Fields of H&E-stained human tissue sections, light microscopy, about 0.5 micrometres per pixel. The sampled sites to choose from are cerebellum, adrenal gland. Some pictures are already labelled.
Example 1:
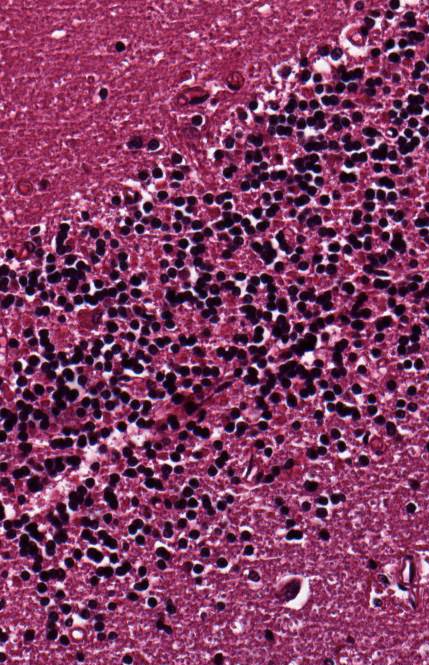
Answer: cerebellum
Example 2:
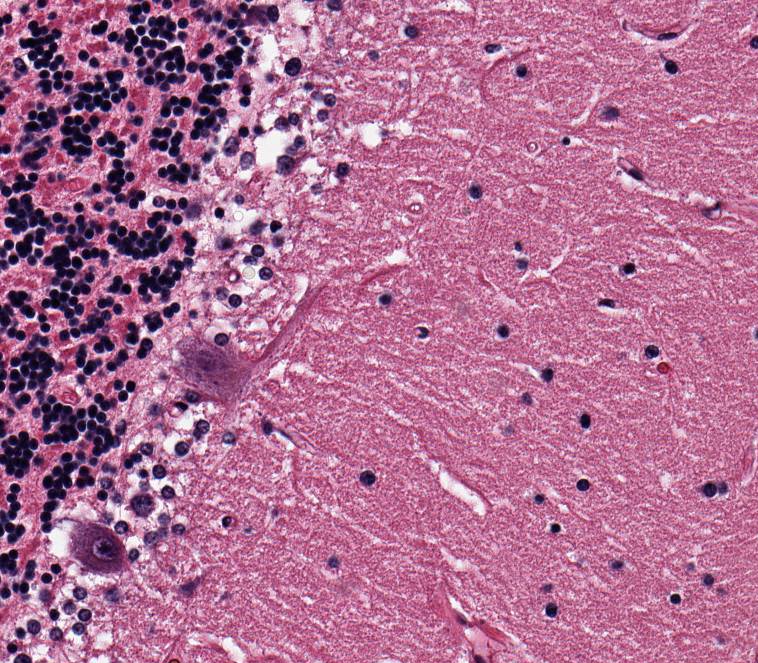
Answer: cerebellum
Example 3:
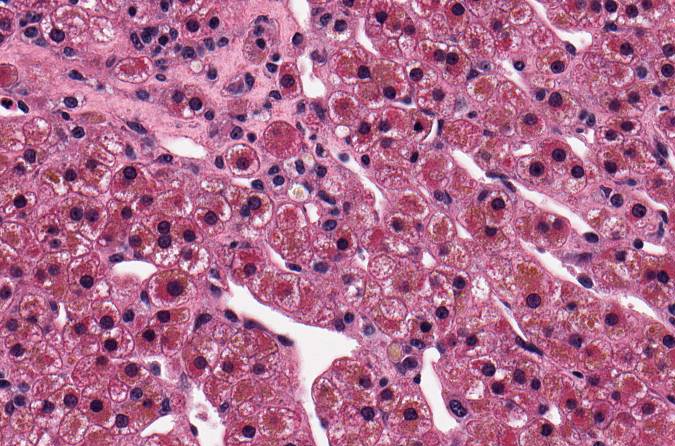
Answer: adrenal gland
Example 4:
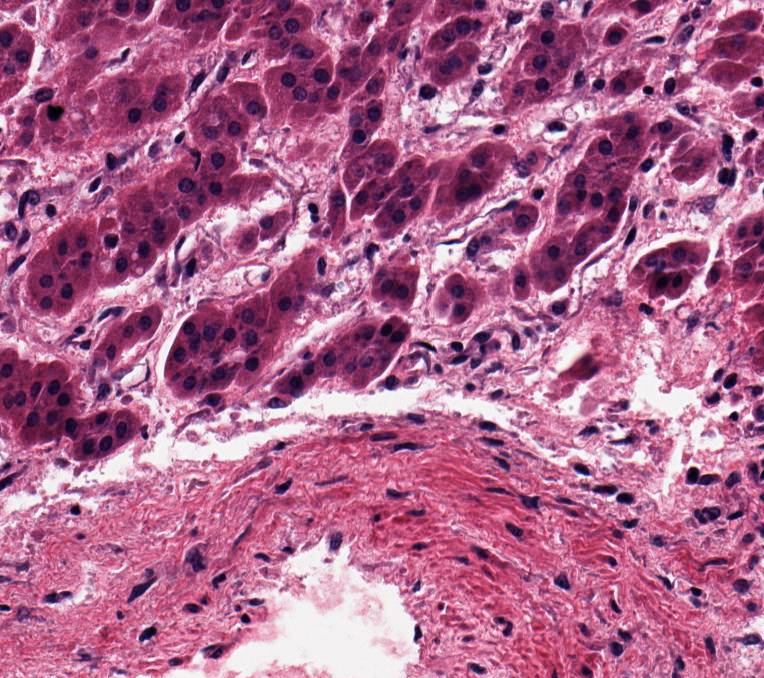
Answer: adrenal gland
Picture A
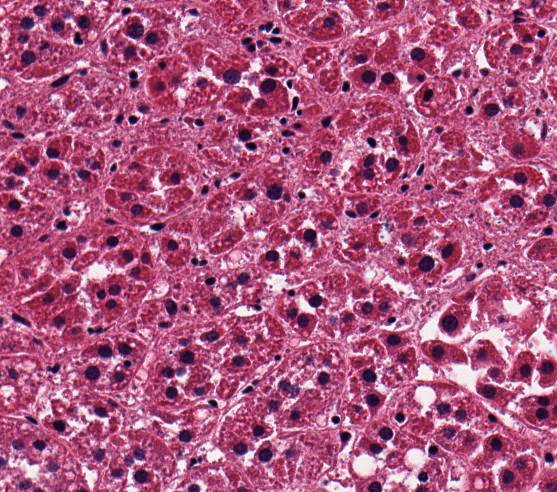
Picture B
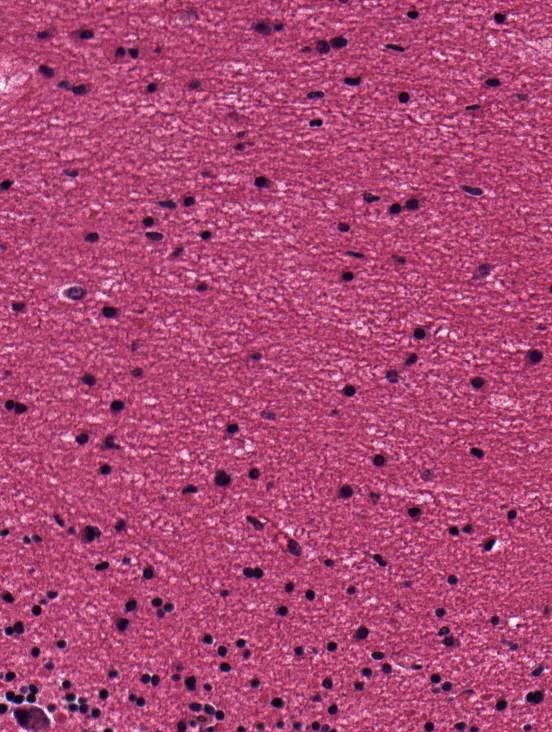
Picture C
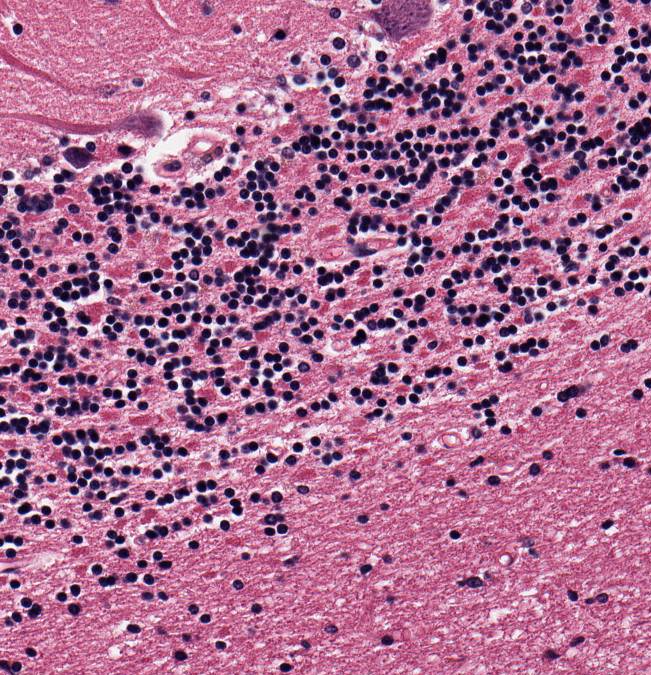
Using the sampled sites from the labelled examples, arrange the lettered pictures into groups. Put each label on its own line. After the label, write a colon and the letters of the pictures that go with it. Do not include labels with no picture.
cerebellum: B, C
adrenal gland: A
